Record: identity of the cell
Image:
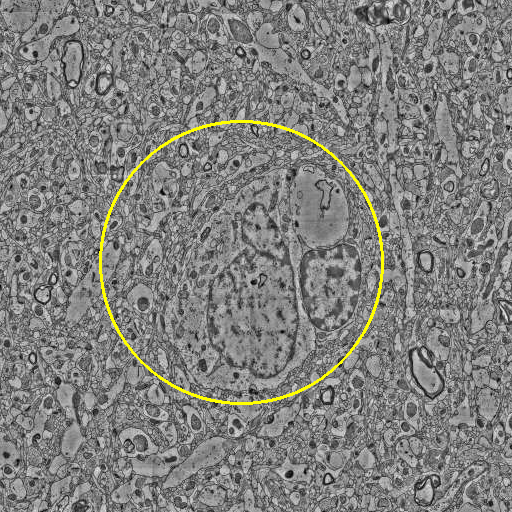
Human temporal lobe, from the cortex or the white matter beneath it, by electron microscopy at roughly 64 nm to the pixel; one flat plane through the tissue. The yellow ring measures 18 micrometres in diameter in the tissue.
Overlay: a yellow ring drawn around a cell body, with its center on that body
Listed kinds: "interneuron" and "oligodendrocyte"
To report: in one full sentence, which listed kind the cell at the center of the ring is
In the image, the cell body at the ring's center belongs to an interneuron.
